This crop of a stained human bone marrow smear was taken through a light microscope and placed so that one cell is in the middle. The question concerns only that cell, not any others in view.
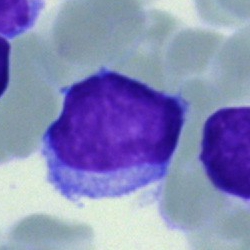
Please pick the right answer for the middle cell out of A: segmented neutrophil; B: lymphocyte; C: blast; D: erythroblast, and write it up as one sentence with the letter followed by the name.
Option B is the correct option, with the middle cell being a lymphocyte.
